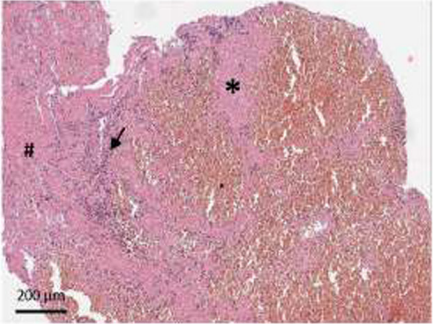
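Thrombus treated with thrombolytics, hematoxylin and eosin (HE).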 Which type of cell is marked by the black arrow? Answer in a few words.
Leucocytes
